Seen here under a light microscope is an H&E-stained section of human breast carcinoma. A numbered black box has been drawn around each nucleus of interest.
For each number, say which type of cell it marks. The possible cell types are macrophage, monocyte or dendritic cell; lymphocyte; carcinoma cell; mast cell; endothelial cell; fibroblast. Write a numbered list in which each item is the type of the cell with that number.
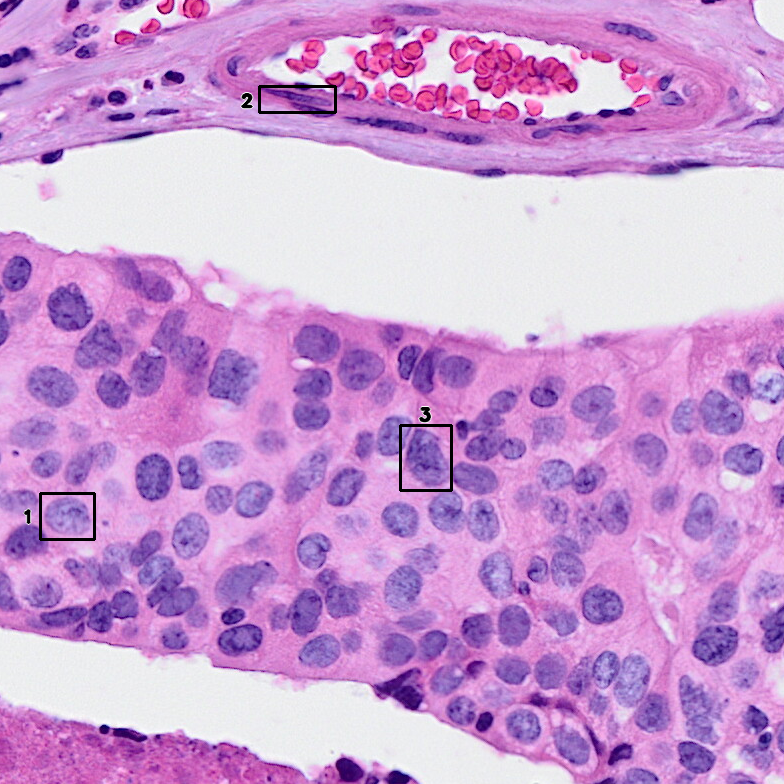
1. carcinoma cell
2. endothelial cell
3. carcinoma cell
